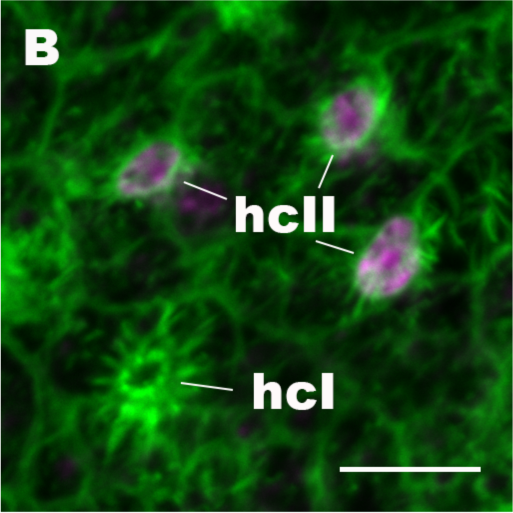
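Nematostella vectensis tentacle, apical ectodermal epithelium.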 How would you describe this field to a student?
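Three hair cells carry magenta-filled oval apices surrounded by a fine fringe of many thin green projections and a green ring at their edge. A fourth hair cell below lacks magenta and shows a star-like cluster of fewer, thicker green projections.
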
